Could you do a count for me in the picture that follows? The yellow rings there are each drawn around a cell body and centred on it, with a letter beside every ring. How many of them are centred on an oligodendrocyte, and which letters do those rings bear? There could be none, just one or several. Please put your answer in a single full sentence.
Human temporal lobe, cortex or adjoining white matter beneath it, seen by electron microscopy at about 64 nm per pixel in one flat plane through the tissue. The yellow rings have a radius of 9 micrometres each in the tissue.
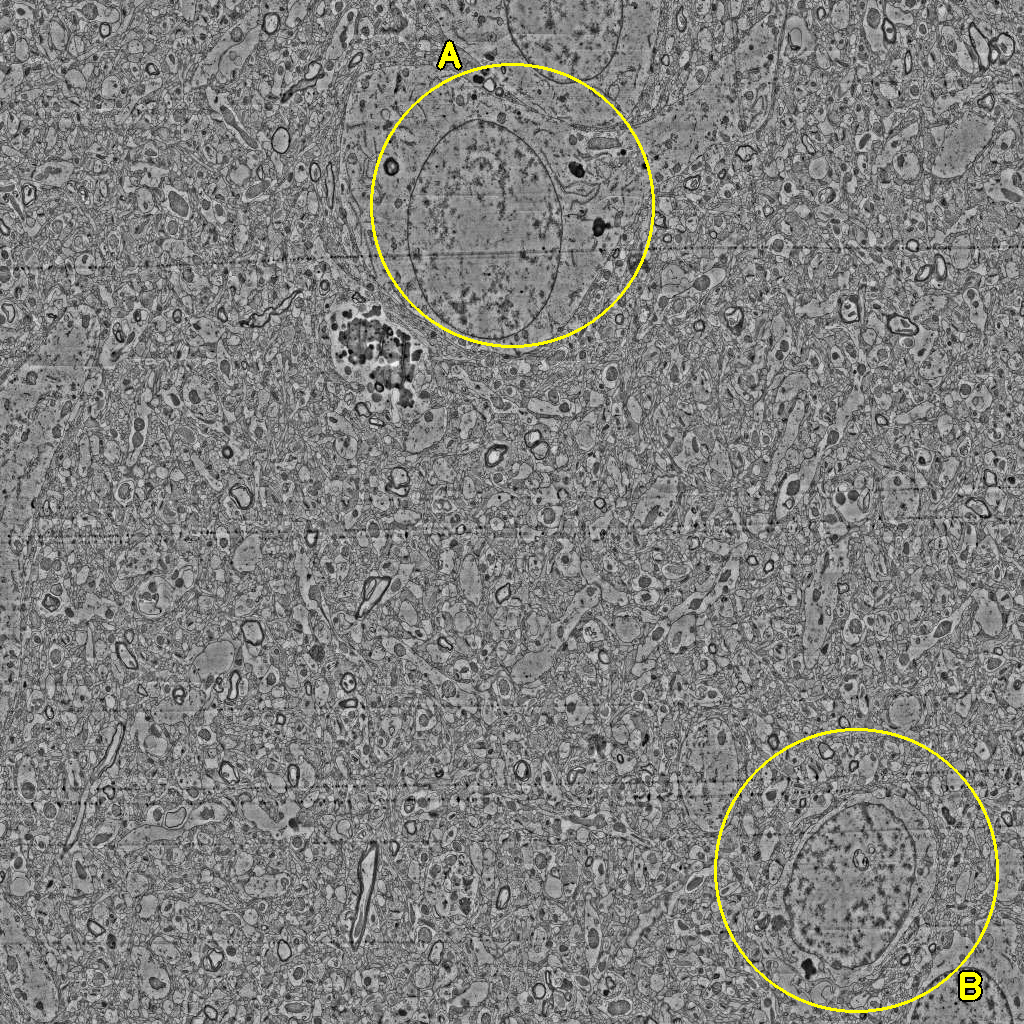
Not even one of the lettered rings is centred on an oligodendrocyte, so the count is zero.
